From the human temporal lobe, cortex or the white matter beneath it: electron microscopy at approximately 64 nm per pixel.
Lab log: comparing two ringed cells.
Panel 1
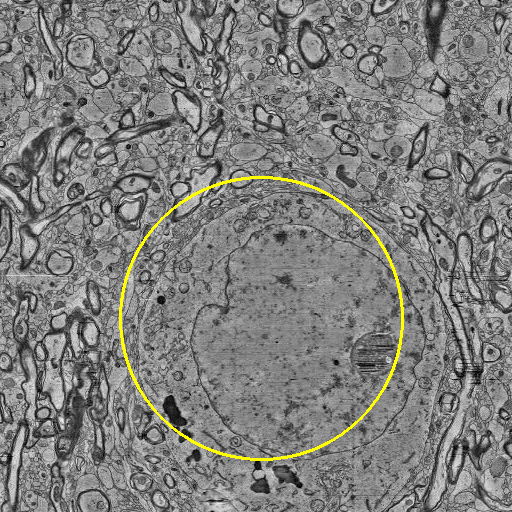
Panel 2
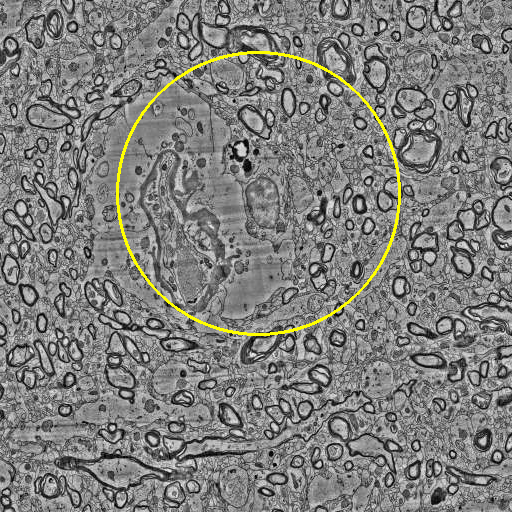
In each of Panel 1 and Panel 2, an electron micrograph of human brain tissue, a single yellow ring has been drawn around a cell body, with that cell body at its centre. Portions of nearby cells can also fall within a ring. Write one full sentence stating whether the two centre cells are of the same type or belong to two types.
The cells at the ring centres in Panel 1 and Panel 2 belong to two types.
